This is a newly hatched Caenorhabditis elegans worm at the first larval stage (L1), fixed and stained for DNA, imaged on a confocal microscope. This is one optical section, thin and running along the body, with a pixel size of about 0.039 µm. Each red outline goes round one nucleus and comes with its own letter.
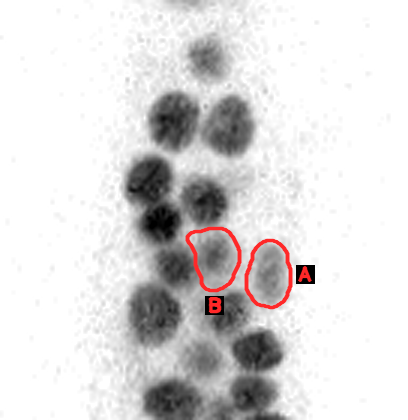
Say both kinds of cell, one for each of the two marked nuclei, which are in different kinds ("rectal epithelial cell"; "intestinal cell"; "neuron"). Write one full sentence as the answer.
The nucleus A is that of a rectal epithelial cell, while B is that of a neuron.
